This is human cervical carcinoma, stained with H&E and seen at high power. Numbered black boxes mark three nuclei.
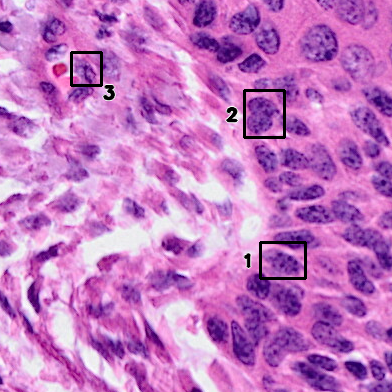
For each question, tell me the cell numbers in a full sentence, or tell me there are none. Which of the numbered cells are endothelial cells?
Only cell 3 is an endothelial cell; none of the other numbered cells is.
